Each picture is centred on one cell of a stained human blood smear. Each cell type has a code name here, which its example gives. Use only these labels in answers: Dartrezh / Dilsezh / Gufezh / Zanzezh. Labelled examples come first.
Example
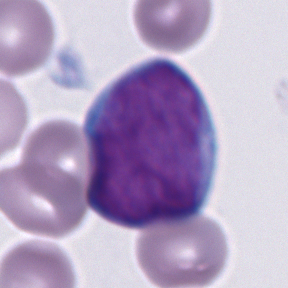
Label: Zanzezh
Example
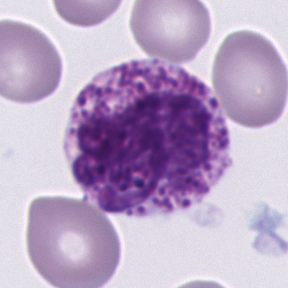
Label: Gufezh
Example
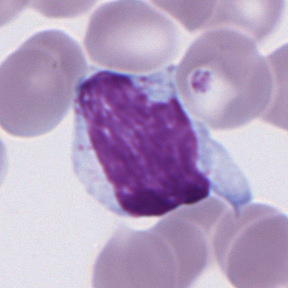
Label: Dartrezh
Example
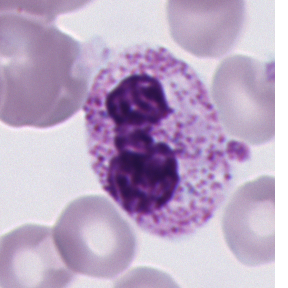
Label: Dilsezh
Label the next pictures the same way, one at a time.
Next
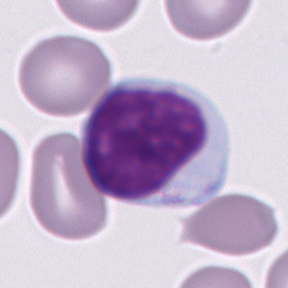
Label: Dartrezh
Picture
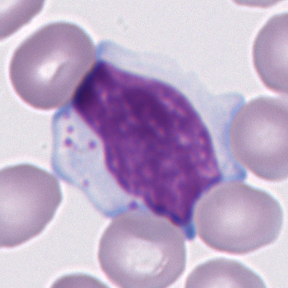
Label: Dartrezh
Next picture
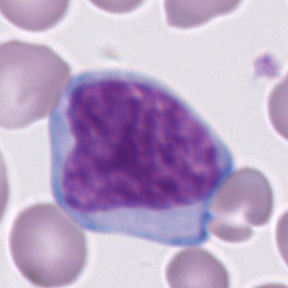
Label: Zanzezh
